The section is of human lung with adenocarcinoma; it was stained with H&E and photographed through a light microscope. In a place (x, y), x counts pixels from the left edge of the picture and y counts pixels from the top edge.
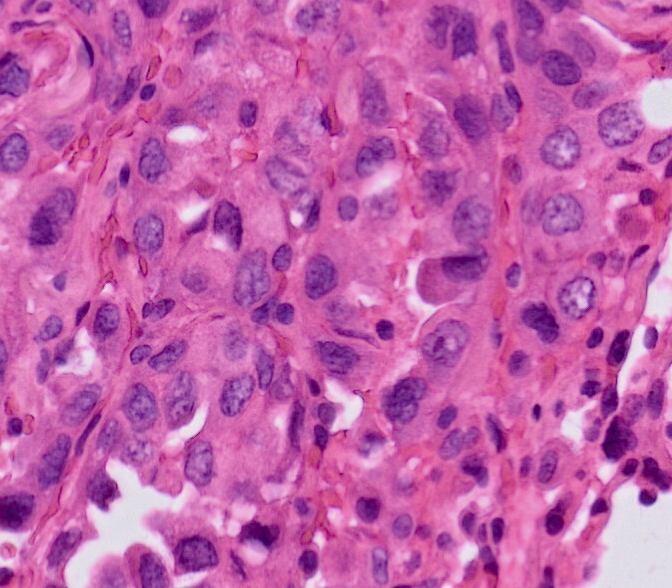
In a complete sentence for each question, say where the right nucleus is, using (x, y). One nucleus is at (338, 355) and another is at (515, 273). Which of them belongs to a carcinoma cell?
At (338, 355) lies the nucleus that belongs to a carcinoma cell.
